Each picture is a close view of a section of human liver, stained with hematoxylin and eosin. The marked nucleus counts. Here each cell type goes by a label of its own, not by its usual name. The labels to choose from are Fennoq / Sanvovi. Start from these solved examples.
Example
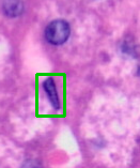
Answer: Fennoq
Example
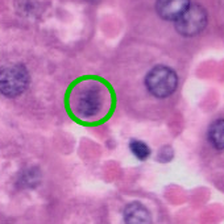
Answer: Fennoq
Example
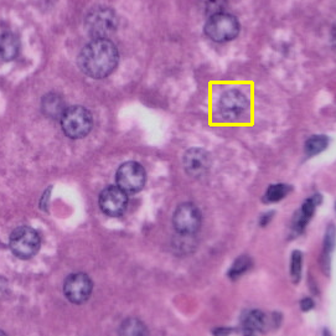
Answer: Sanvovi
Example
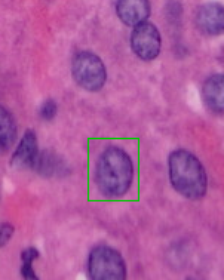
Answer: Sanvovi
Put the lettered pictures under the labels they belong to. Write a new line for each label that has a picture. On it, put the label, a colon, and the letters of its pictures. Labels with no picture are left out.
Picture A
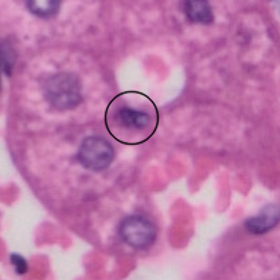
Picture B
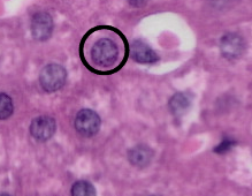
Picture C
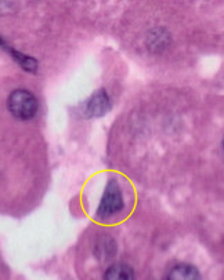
Fennoq: A, C
Sanvovi: B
